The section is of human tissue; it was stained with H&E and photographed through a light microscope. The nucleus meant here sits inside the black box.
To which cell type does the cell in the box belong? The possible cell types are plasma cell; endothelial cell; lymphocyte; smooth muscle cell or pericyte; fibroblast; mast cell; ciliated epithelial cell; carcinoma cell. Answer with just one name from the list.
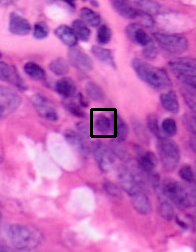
ciliated epithelial cell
